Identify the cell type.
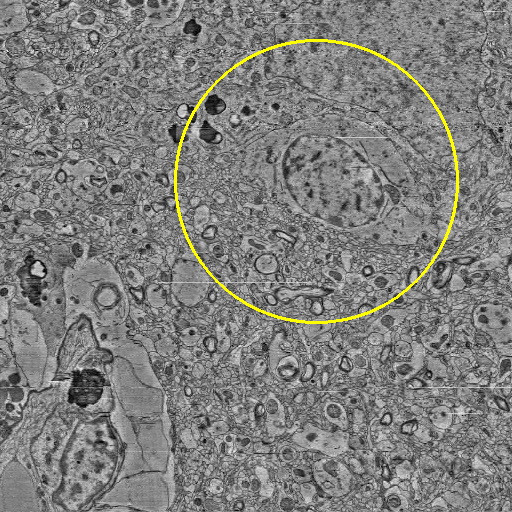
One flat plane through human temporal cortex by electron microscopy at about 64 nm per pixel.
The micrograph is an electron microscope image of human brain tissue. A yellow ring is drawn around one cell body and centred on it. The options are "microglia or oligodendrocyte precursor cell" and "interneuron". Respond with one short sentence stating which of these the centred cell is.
The cell body in the ring belongs to a microglial cell or oligodendrocyte precursor cell.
